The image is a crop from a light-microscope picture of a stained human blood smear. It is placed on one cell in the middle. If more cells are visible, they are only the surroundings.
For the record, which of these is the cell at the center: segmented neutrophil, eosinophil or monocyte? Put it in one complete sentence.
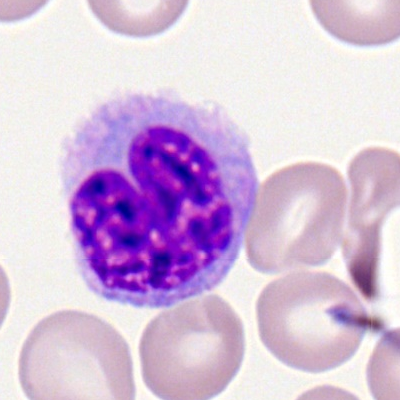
The middle cell in this particular crop is a monocyte.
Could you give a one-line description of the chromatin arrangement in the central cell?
Chromatin in the nucleus here is coarsely clumped.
